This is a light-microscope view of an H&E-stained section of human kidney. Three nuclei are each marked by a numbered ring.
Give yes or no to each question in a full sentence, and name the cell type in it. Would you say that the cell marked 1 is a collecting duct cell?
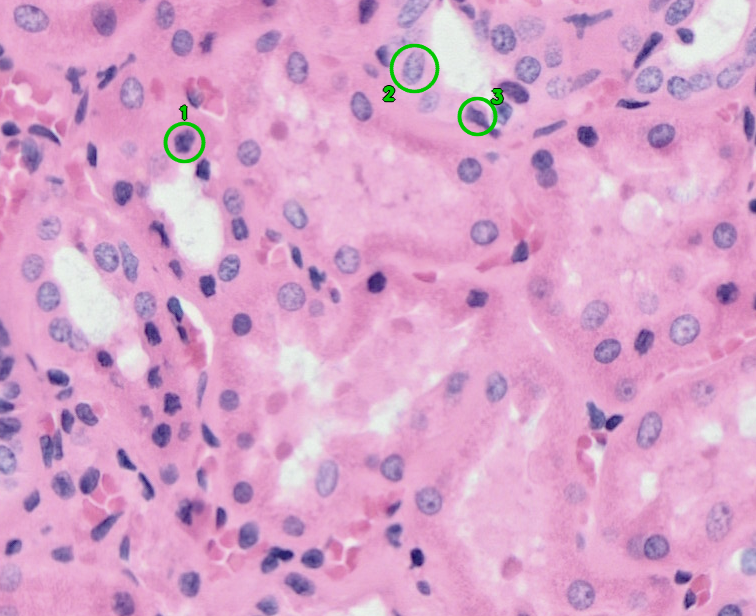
No, the cell at number 1 is a loop of Henle or distal tubule cell instead of a collecting duct cell.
